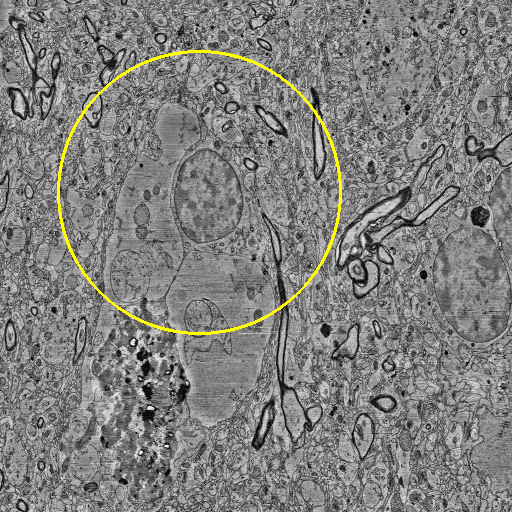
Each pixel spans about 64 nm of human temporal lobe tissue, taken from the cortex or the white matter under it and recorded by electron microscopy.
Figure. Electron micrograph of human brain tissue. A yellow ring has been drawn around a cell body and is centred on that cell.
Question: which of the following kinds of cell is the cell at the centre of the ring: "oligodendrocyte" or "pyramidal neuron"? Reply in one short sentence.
The cell at the centre of the ring is an oligodendrocyte.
